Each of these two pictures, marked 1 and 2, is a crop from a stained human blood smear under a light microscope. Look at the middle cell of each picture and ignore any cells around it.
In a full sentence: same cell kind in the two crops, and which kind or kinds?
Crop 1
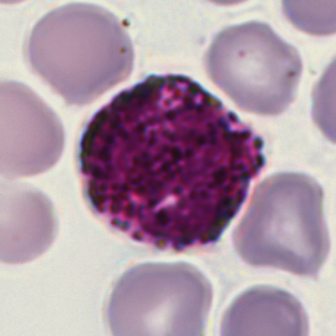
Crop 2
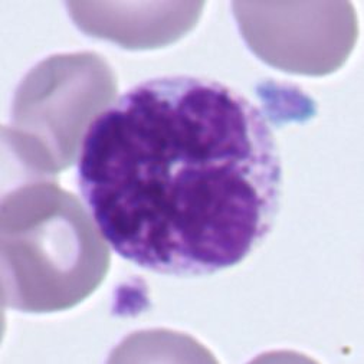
Yes, the reply for both crops is basophils.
